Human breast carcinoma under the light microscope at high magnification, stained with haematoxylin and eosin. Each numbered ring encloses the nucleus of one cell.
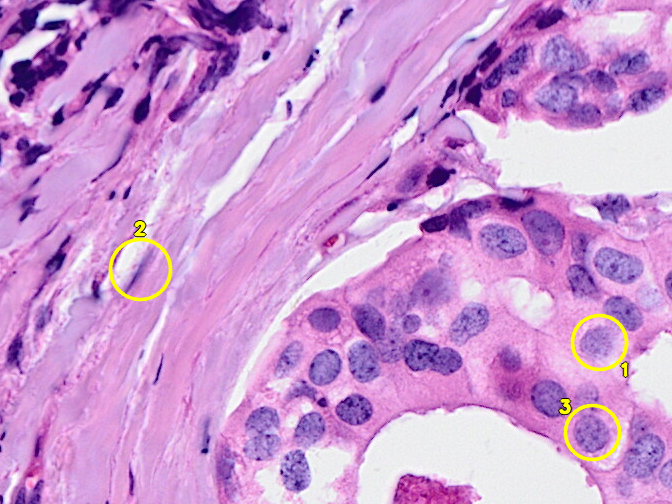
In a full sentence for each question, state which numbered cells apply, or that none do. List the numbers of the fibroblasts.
Of the numbered nuclei, only the one labelled 2 belongs to a fibroblast.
